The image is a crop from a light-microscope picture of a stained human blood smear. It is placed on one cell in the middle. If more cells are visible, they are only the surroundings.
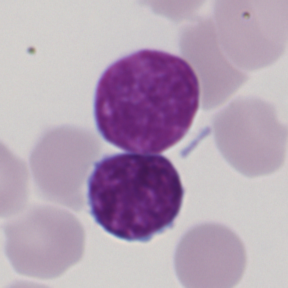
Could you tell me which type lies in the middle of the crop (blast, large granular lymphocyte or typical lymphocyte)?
blast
